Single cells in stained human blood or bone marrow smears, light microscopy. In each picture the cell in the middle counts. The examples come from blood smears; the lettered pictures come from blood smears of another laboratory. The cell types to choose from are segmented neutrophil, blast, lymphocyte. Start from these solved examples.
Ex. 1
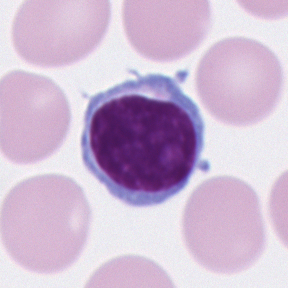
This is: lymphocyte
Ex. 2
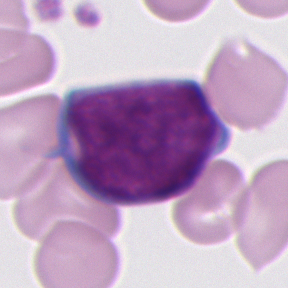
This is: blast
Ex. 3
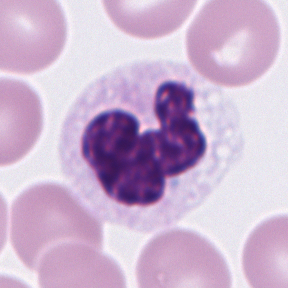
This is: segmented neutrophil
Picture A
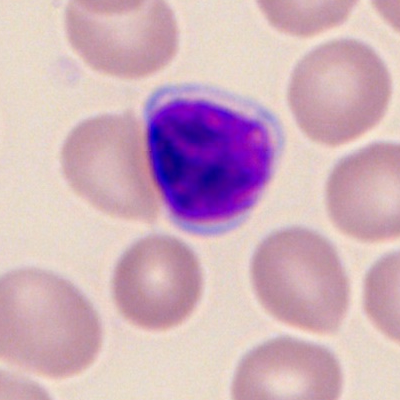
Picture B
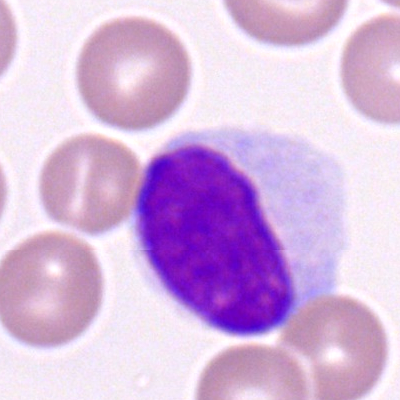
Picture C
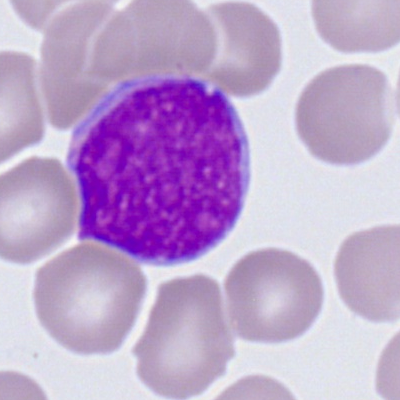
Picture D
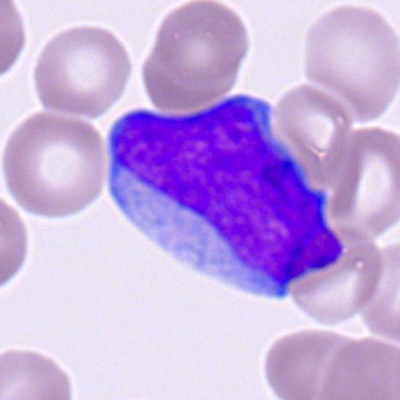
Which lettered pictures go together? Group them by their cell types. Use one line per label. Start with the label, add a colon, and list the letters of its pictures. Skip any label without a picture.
blast: C, D
lymphocyte: A, B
